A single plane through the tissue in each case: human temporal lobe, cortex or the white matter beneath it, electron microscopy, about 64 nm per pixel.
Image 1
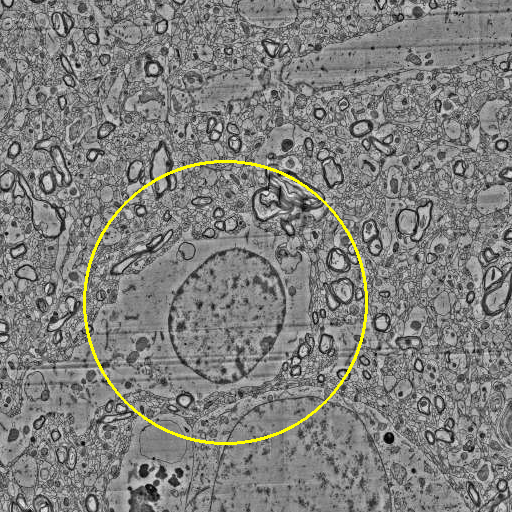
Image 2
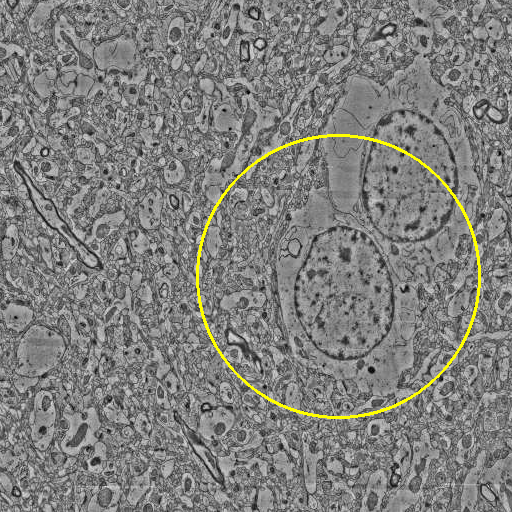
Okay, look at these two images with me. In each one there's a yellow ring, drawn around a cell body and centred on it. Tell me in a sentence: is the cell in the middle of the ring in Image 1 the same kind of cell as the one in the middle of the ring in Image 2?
Yes, they're the same kind of cell.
